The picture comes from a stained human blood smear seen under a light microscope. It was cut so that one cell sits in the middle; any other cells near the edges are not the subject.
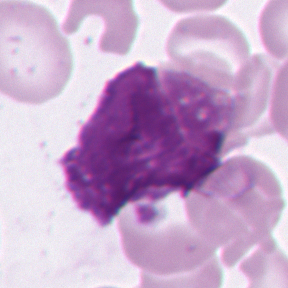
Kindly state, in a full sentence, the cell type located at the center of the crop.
At the center of the crop sits a smudge cell.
